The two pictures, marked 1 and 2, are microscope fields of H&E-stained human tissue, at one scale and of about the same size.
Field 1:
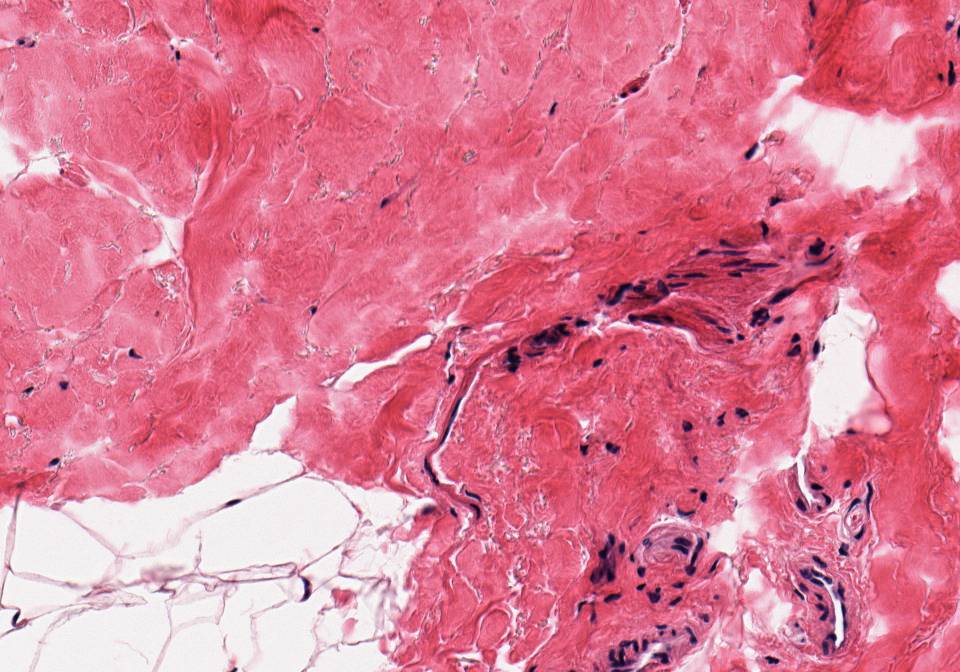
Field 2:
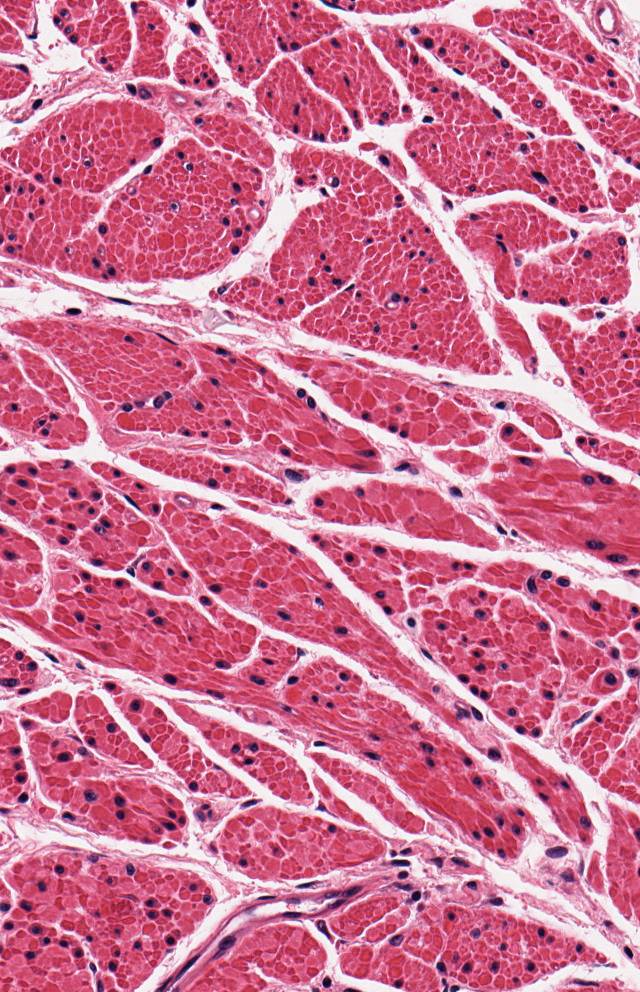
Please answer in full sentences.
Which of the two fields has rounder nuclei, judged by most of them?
It is field 2 whose nuclei are the rounder.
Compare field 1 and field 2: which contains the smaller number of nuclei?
Fewer nuclei lie in field 1 than in field 2.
